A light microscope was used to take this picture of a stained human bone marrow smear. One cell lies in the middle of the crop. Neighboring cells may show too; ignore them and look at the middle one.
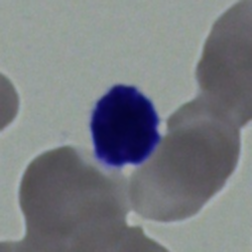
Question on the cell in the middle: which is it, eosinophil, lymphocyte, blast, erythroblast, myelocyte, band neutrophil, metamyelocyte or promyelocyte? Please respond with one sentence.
In short, the cell at the center is a lymphocyte.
